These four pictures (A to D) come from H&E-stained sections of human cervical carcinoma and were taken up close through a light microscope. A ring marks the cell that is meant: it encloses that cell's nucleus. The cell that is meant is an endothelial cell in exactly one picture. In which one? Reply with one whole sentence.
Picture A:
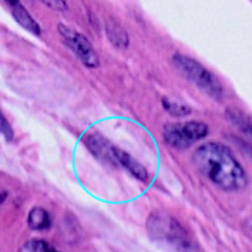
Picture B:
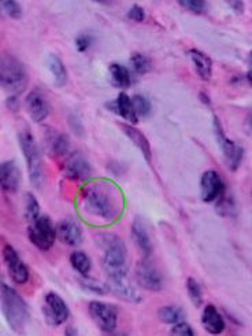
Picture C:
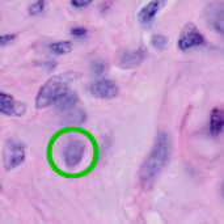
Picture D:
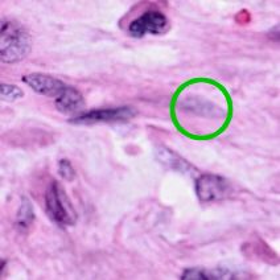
The endothelial cell is the one in picture B.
